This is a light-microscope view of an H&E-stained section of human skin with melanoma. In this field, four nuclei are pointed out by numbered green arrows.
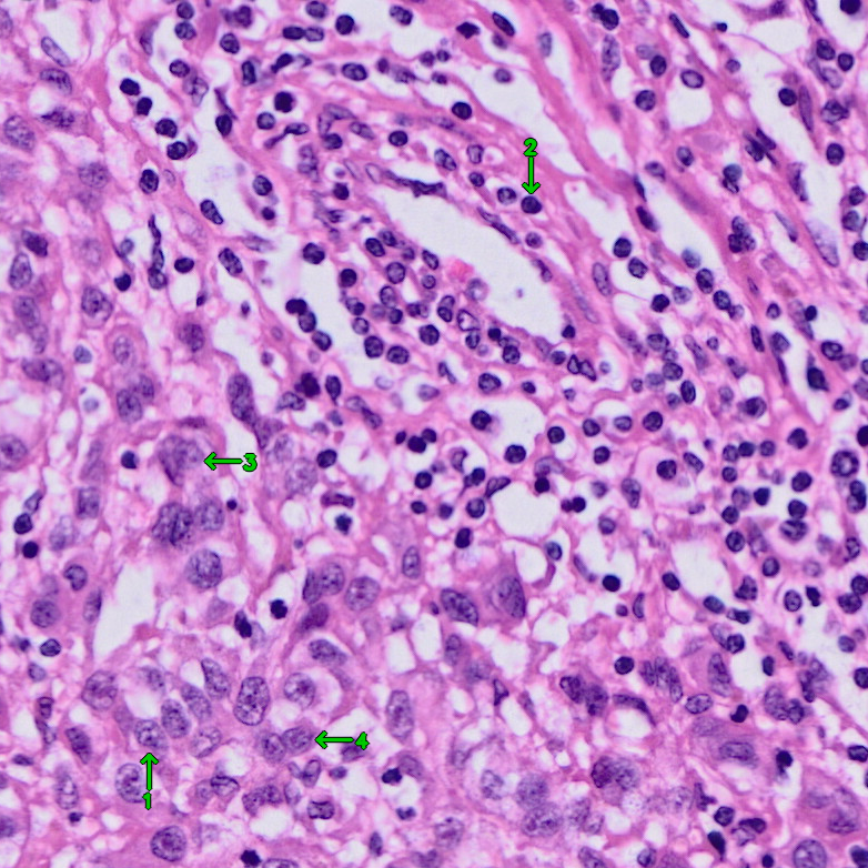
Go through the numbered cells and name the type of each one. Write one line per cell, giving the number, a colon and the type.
1: melanoma cell
2: lymphocyte
3: melanoma cell
4: melanoma cell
